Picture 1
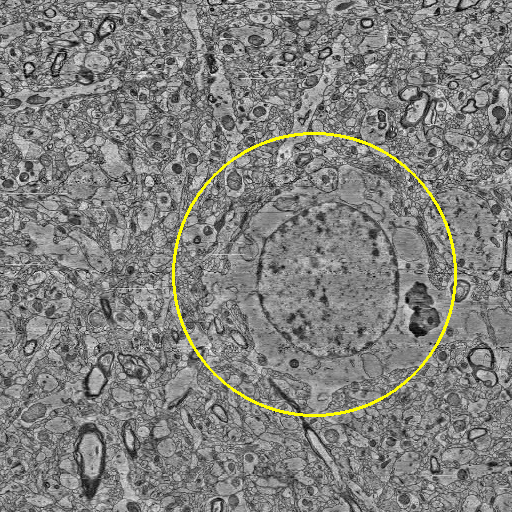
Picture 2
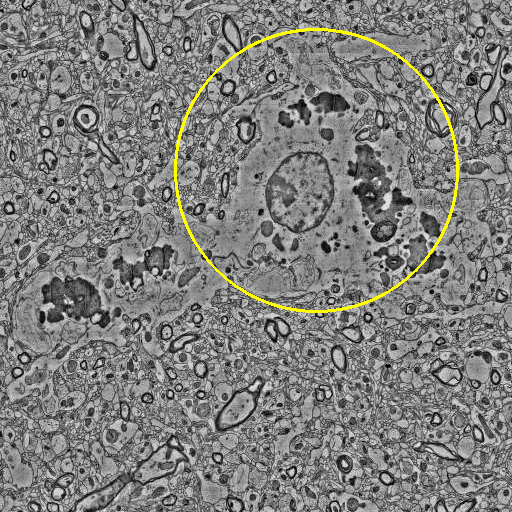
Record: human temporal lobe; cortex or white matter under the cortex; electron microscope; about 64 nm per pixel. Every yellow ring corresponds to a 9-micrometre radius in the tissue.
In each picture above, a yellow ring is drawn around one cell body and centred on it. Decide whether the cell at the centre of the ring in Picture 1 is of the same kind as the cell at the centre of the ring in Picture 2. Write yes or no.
yes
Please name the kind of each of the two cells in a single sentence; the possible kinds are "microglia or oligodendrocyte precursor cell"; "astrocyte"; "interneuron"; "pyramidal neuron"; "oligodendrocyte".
Each of the ringed cells, first and second, is an astrocyte.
